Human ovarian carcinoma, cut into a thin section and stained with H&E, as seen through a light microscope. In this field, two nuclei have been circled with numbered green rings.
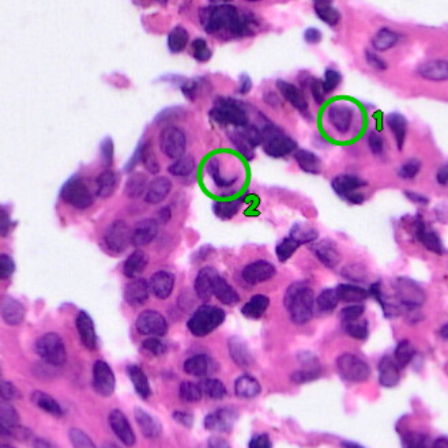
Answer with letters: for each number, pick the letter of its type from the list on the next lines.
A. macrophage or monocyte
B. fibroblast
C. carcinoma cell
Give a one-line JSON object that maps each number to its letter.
{"1": "C", "2": "A"}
